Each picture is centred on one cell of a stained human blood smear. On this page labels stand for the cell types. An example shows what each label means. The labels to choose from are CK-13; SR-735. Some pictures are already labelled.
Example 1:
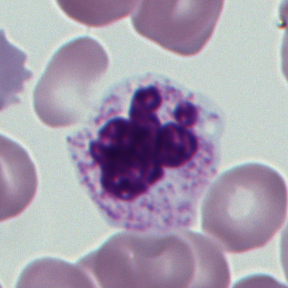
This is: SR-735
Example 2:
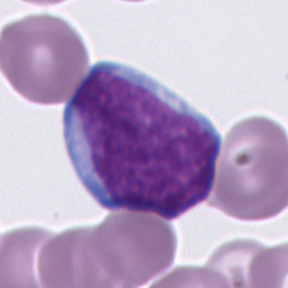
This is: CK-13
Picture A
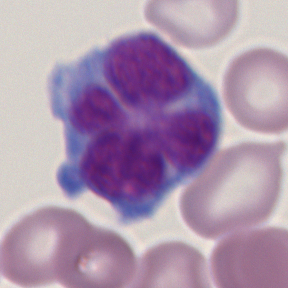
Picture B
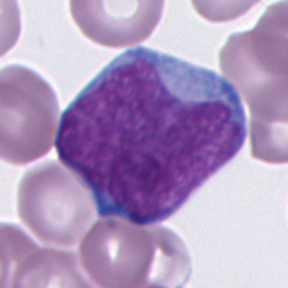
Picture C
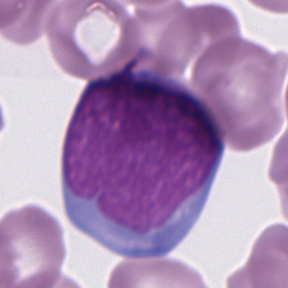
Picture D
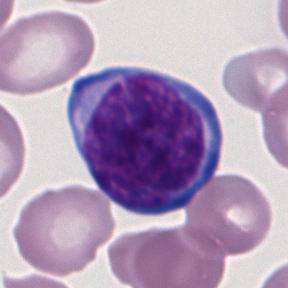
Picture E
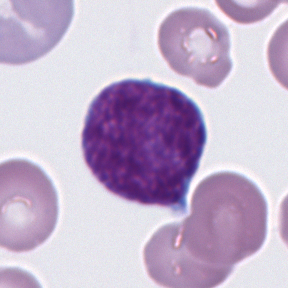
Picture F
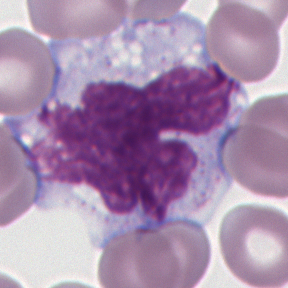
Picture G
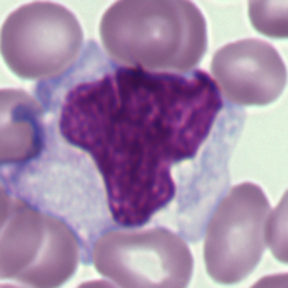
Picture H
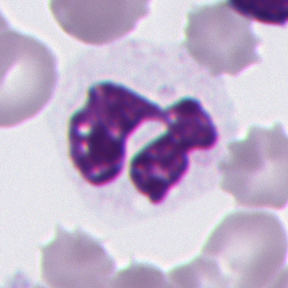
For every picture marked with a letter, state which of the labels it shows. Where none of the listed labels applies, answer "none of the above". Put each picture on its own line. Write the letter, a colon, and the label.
A: CK-13
B: CK-13
C: CK-13
D: CK-13
E: CK-13
F: none of the above
G: none of the above
H: SR-735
